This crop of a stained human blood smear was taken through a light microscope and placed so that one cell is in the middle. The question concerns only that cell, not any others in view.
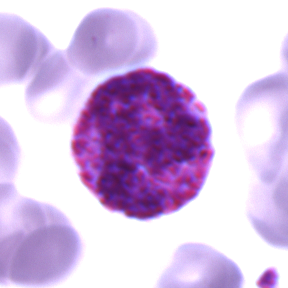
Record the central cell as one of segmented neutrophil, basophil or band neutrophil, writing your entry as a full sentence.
This particular crop is centered on a basophil.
